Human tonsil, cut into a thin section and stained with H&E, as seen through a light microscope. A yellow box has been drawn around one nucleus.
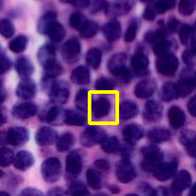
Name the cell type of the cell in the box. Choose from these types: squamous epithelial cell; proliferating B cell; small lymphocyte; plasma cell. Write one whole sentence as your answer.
Recorded by type, the cell in the box is a small lymphocyte.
